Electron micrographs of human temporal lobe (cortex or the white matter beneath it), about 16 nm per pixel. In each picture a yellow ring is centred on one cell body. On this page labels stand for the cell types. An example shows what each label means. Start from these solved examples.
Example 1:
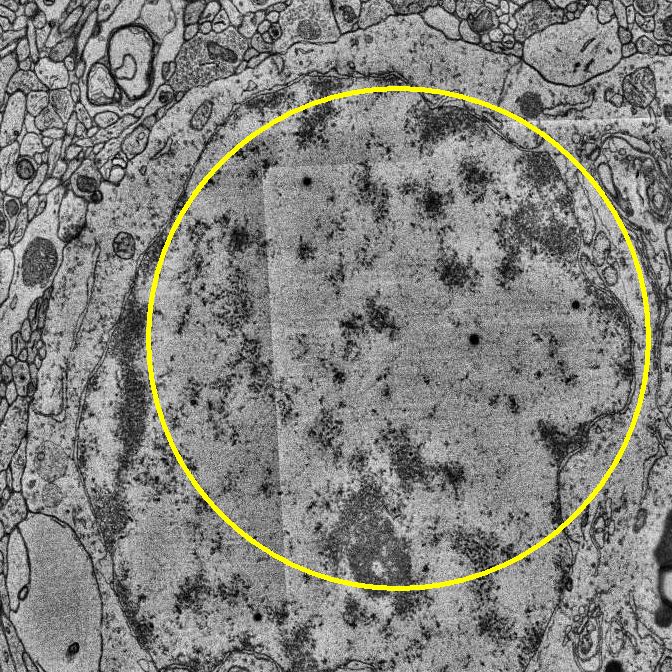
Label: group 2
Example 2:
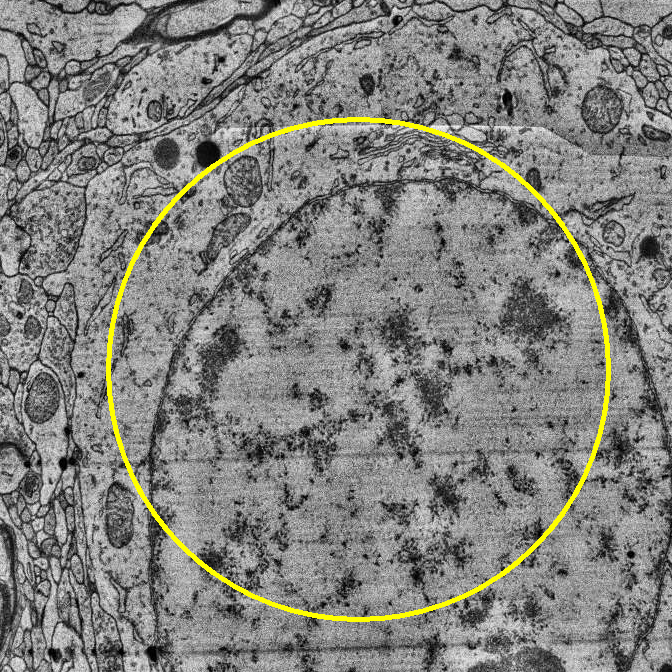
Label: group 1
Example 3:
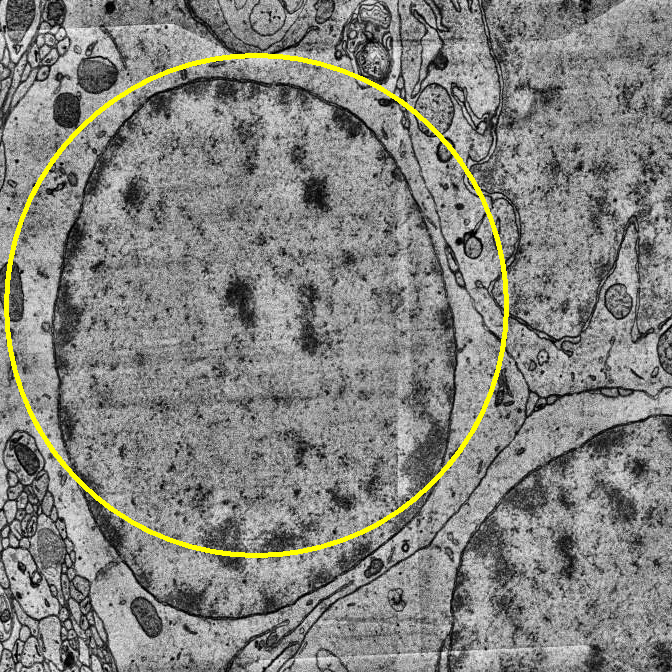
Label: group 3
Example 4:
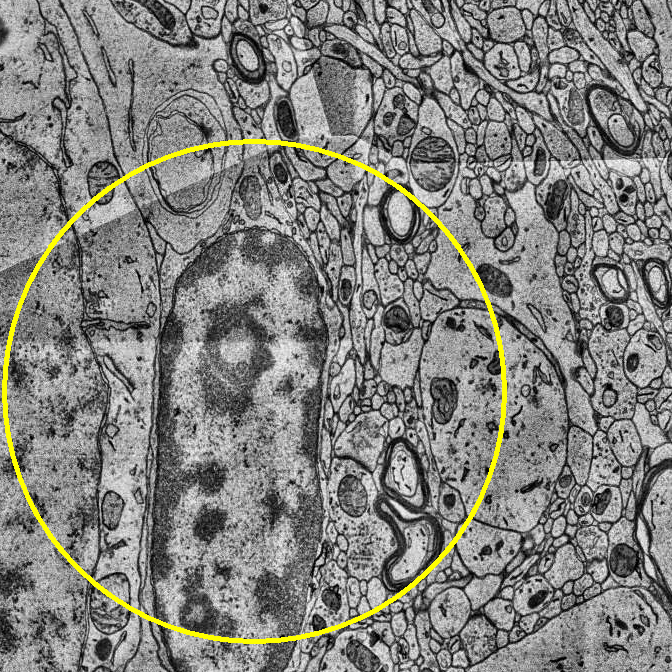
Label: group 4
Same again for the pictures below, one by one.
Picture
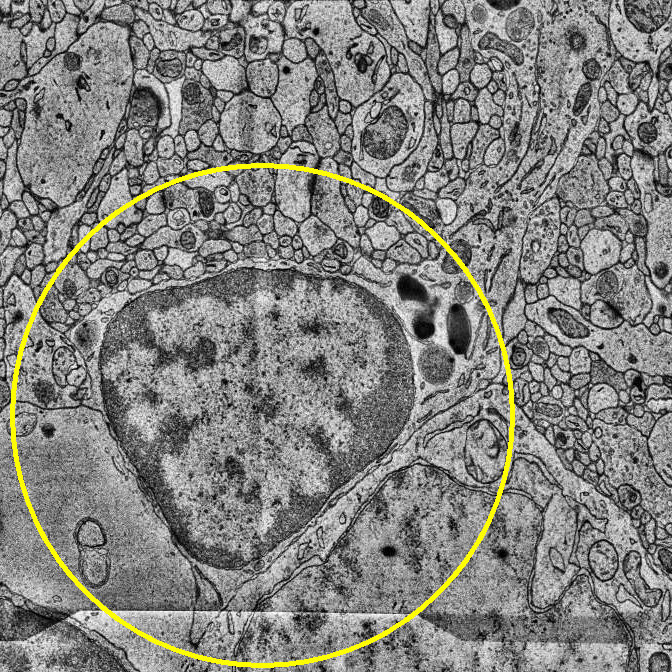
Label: group 4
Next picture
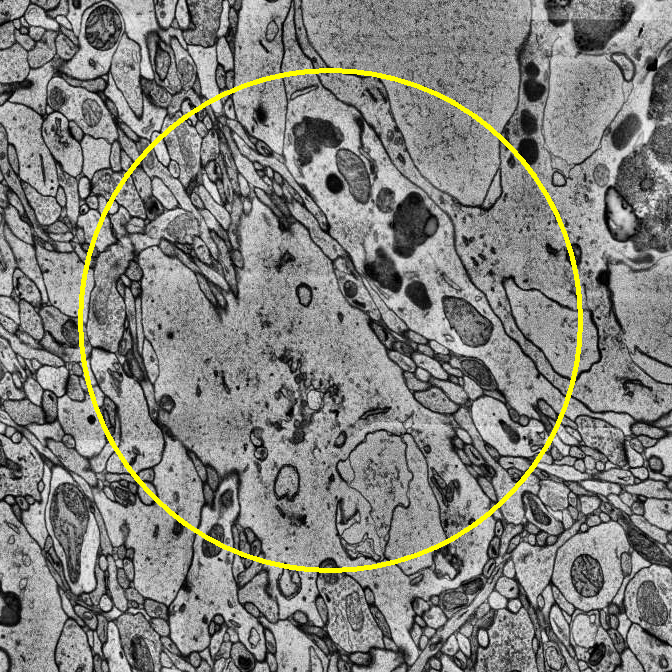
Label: group 3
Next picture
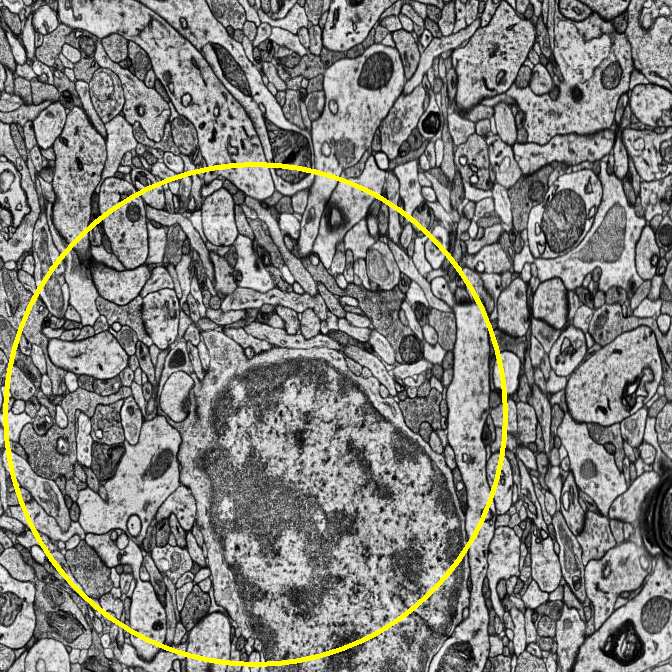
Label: group 4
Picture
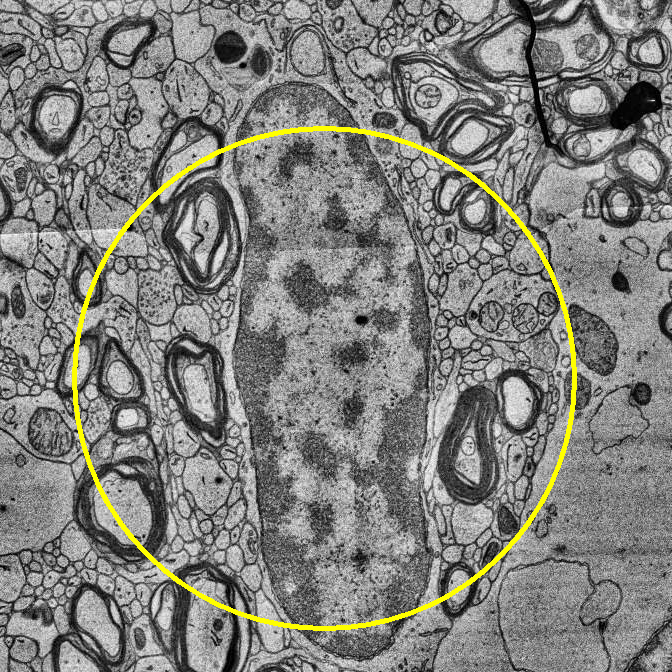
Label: group 4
